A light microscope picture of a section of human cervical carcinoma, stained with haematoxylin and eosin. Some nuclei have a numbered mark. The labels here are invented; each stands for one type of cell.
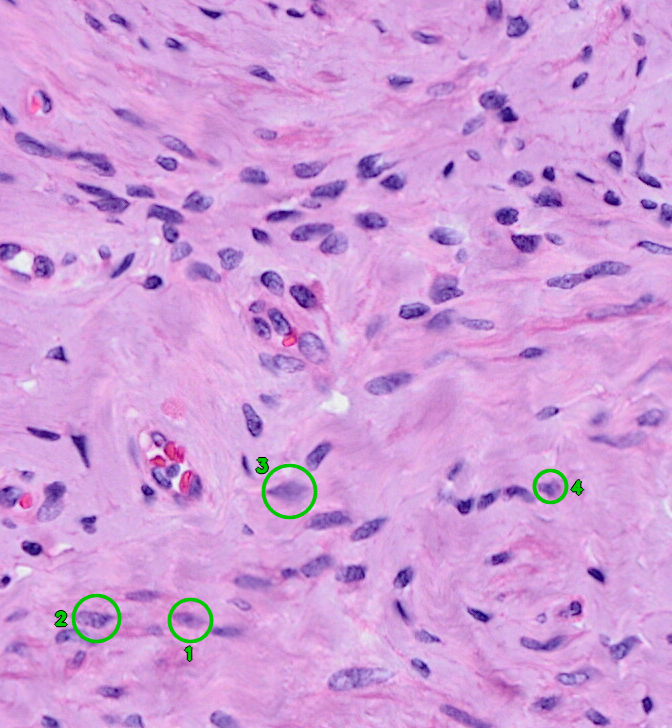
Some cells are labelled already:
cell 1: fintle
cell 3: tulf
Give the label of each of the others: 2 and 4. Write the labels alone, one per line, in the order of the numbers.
fintle
tulf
